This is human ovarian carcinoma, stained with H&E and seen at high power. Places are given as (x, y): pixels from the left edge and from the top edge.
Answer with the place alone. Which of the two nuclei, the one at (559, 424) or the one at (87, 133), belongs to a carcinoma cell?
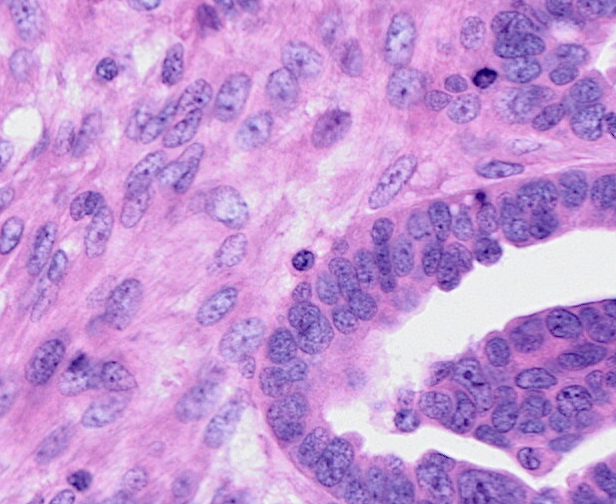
(559, 424)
